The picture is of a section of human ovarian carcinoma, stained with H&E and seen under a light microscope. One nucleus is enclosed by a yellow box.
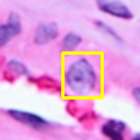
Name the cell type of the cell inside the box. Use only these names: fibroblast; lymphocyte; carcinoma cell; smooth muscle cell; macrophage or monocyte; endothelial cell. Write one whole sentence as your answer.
The cell inside the box appears to be an endothelial cell.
